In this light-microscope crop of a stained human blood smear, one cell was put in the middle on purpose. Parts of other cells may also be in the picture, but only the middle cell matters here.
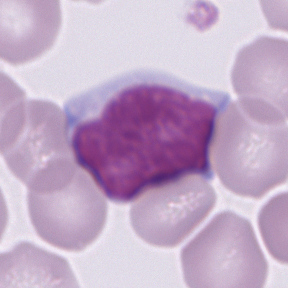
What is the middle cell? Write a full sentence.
The single cell at the center of the crop is a typical lymphocyte.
